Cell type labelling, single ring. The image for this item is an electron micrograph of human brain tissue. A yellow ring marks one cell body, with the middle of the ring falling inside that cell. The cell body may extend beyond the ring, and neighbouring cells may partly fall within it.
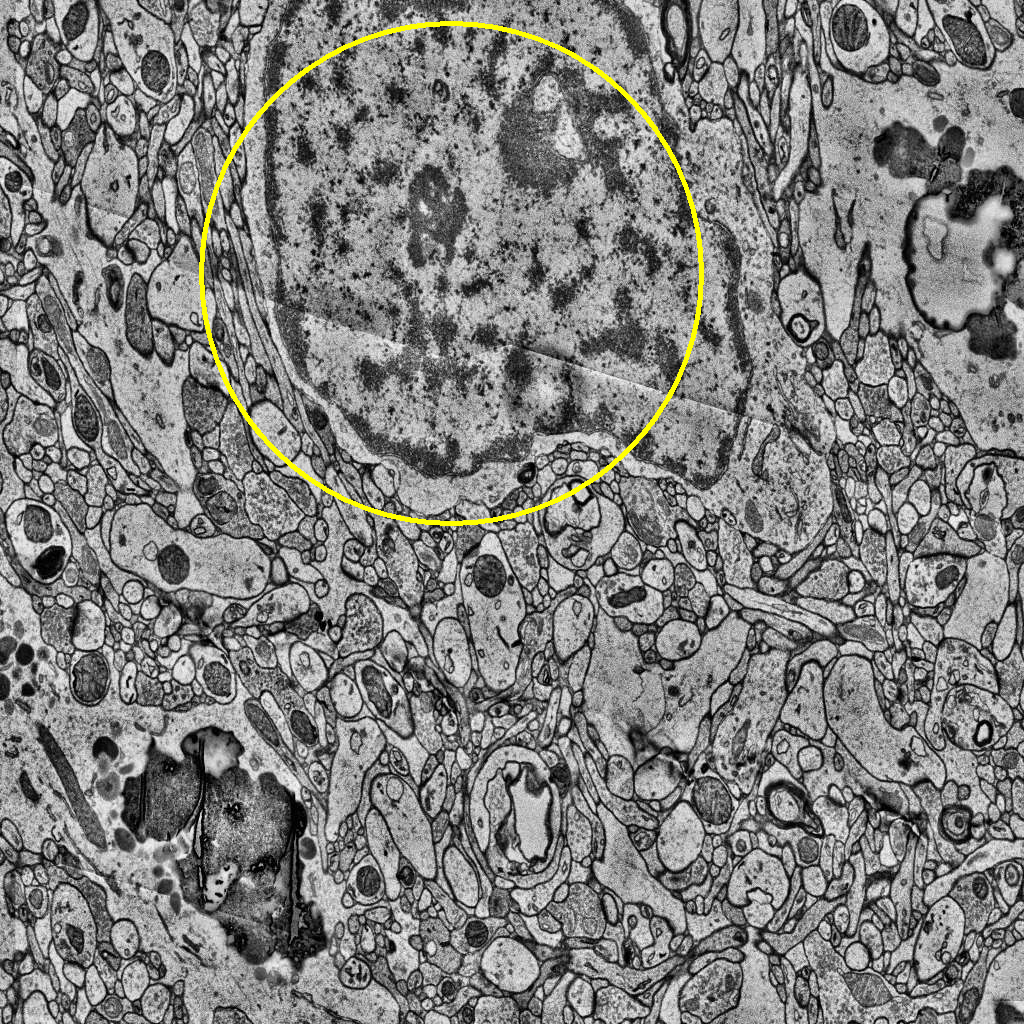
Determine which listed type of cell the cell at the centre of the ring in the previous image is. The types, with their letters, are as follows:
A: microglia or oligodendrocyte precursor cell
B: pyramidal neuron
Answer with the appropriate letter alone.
A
